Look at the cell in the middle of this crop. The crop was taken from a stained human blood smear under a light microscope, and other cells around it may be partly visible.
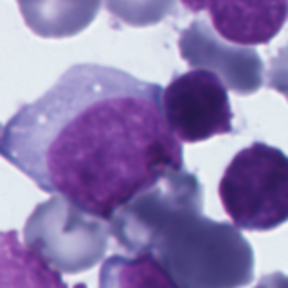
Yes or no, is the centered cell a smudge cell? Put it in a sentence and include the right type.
No, the cell centered in the crop is a myeloblast, not a smudge cell.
